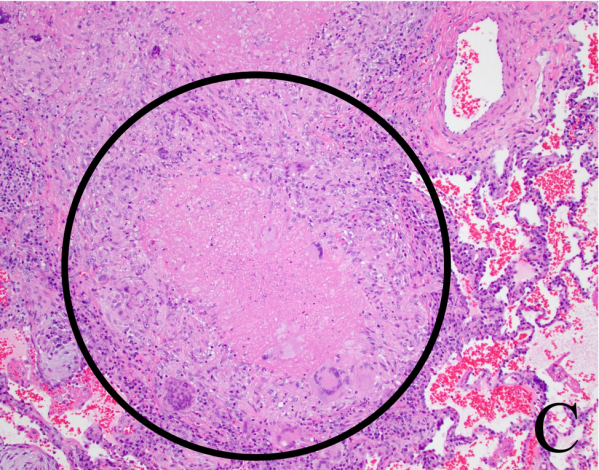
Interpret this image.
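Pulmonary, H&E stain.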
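This lung tissue shows a large necrotizing granuloma, with a broad central zone of pale pink, finely granular amorphous material in which no intact cells can be made out. The necrotic centre is surrounded by a band of histiocytes with elongated nuclei and by scattered multinucleated giant cells, some at the lower edge of the necrosis. Outside this band lies a denser rim of small dark inflammatory cells.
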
